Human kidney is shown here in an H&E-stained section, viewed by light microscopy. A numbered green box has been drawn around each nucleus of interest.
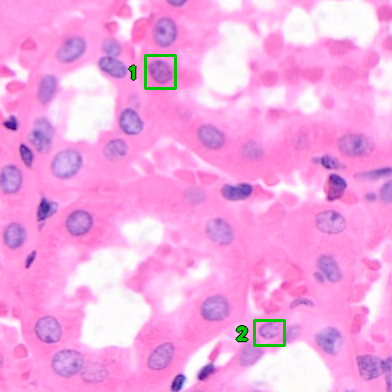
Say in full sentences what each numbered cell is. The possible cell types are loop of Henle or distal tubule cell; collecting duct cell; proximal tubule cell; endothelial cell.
Cell 1 is a proximal tubule cell and cell 2 is a collecting duct cell.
